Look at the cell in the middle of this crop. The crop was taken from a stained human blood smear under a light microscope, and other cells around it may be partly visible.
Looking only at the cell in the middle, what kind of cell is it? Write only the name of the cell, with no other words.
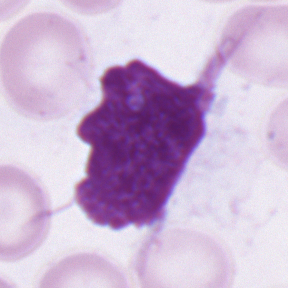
smudge cell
